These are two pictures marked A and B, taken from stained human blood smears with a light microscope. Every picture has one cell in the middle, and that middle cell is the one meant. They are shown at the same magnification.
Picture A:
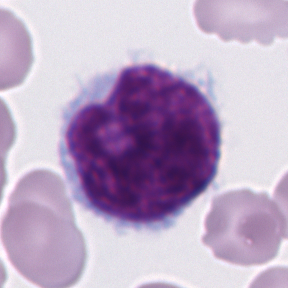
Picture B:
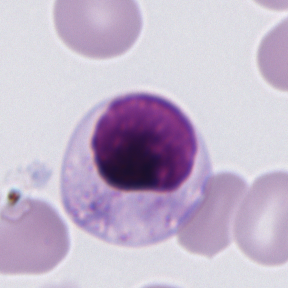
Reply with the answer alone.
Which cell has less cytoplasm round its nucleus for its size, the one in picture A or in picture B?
A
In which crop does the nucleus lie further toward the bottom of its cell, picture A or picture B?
A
